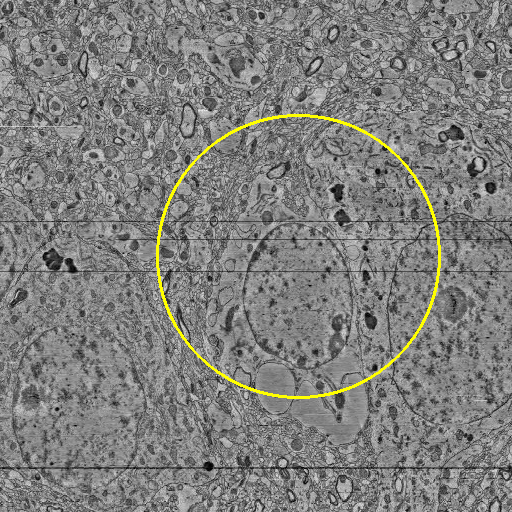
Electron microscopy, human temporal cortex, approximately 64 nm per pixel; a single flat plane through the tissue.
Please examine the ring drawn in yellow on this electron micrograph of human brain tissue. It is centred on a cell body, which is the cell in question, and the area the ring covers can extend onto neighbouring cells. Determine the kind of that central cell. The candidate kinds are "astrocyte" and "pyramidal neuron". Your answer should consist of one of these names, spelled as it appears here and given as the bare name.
astrocyte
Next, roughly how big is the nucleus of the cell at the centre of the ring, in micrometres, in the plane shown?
In this plane the nucleus is about 10 micrometres by 7.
